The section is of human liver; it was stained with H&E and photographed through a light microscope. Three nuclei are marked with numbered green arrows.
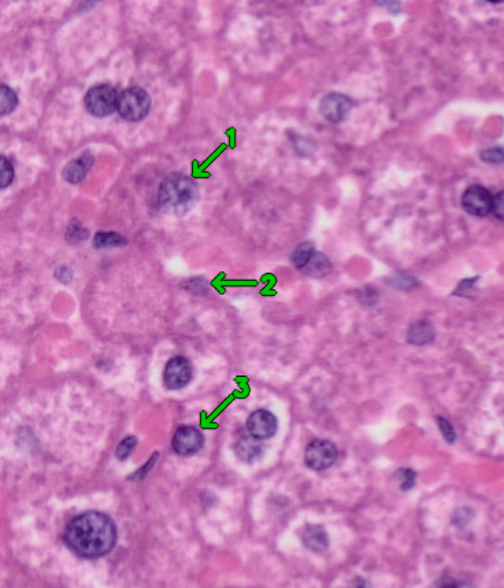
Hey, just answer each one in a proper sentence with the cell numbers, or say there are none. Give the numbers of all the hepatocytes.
The cells with numbers 1 and 3 are hepatocytes by type.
